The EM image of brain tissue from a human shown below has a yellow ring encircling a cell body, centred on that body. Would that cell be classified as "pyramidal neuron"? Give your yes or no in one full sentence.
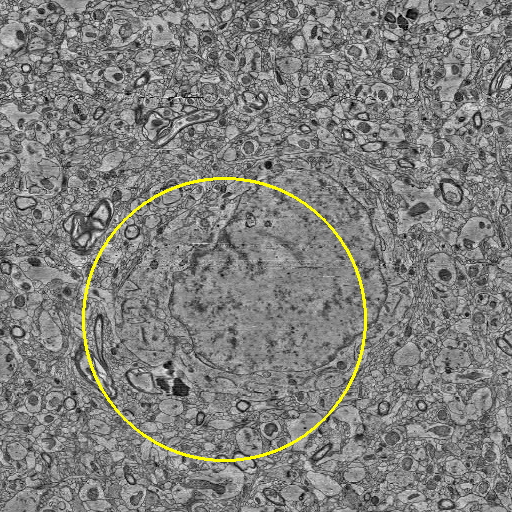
No, the cell at the centre of the ring in the picture falls in another class.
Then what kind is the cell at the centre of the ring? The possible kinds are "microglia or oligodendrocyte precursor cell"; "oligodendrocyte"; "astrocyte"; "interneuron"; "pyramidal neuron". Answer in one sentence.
The cell marked by the ring is an interneuron.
